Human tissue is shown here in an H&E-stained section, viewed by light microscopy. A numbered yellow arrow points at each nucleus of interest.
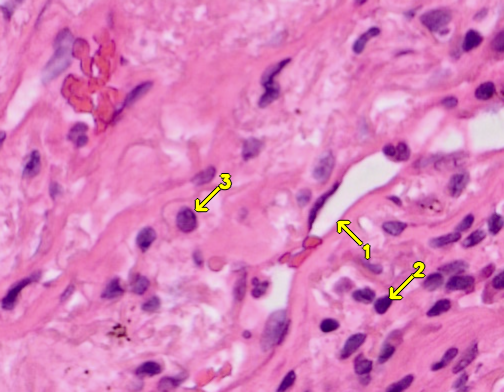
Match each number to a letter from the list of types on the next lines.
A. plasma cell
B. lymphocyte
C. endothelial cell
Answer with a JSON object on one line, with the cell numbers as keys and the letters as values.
{"1": "C", "2": "B", "3": "A"}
